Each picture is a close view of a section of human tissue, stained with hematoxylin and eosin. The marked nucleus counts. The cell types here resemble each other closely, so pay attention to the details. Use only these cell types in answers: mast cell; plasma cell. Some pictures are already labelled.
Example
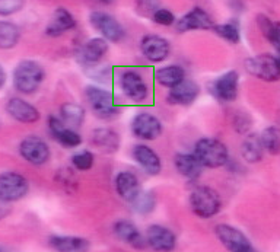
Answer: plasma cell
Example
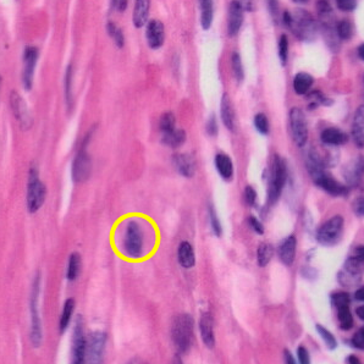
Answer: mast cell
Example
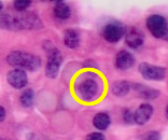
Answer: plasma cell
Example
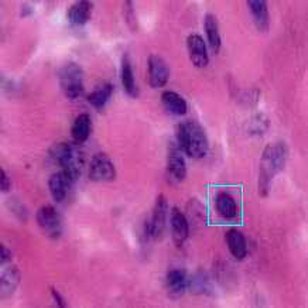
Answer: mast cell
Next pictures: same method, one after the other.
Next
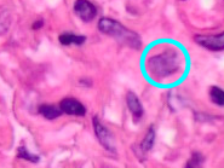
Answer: mast cell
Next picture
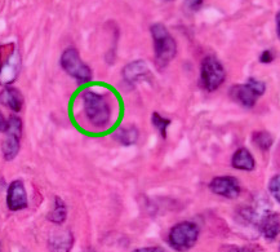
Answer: plasma cell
